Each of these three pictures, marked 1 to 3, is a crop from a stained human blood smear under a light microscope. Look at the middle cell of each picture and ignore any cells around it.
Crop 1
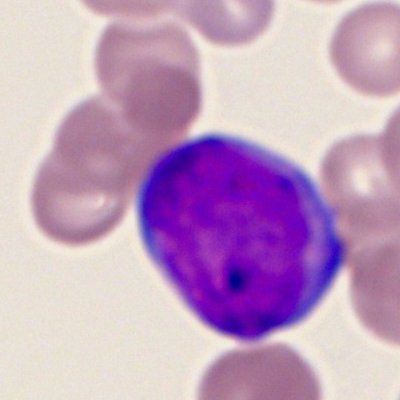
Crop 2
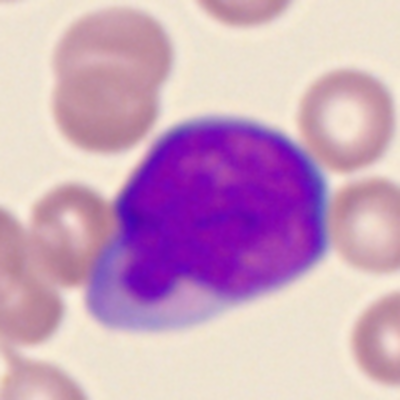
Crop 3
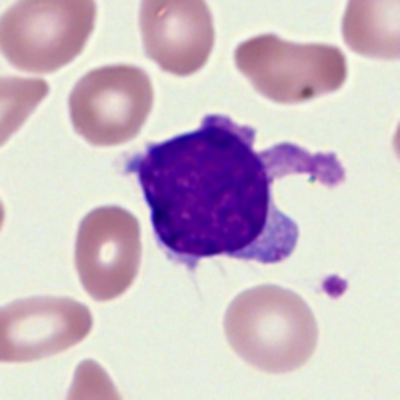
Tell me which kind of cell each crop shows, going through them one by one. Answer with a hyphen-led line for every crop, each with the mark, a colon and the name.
- 1: blast
- 2: blast
- 3: lymphocyte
